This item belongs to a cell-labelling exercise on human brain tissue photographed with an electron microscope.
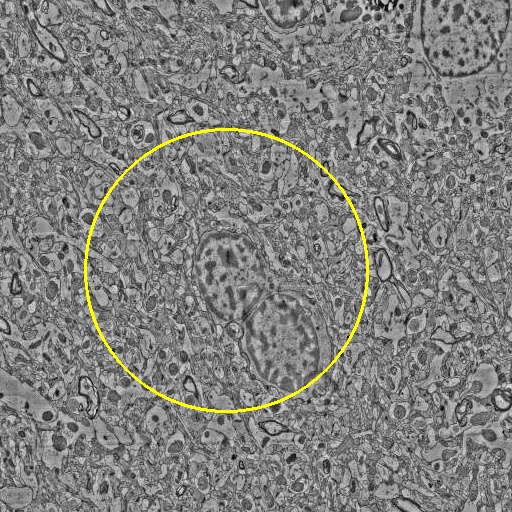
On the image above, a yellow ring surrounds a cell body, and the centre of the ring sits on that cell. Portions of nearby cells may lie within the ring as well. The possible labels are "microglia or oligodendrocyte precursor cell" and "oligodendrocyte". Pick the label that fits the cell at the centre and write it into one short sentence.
This cell should be labelled as an oligodendrocyte.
